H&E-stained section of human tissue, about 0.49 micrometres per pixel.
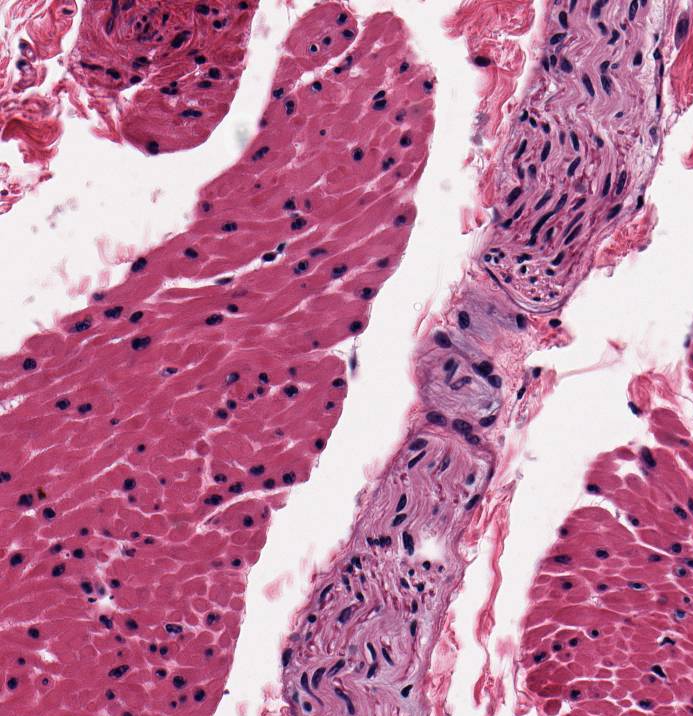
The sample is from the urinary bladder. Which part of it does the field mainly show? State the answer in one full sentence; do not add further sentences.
The part of the tissue seen in this section is smooth muscle.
